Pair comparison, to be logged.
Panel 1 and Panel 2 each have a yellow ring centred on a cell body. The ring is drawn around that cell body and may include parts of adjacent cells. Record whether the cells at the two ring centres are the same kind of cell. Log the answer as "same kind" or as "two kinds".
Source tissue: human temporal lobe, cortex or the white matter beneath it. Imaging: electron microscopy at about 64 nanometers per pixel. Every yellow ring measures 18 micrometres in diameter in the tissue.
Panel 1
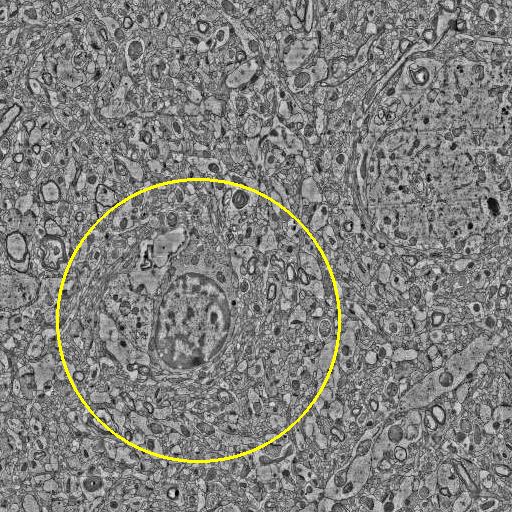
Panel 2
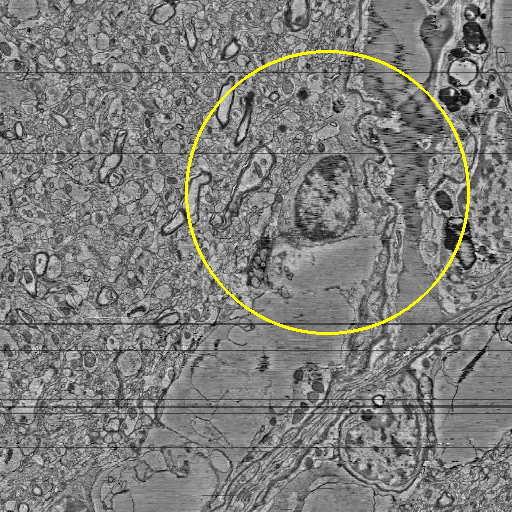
same kind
